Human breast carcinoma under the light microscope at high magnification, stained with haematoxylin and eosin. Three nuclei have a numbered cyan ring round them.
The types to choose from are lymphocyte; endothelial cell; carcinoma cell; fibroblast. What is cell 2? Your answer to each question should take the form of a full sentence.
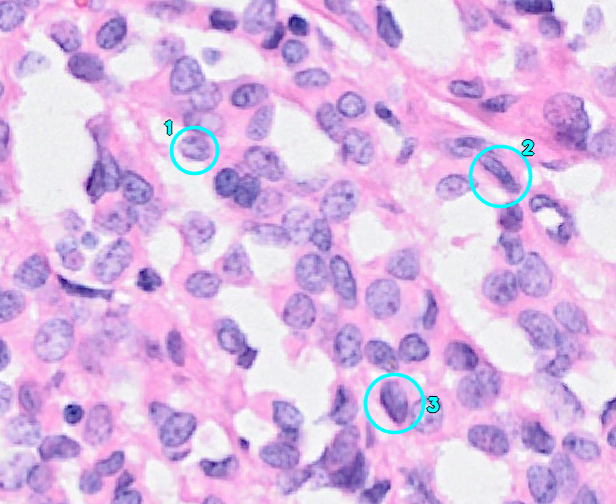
Number 2 is placed on an endothelial cell here.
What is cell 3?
The cell identified by the number 3 is a carcinoma cell.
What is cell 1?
To a carcinoma cell belongs the nucleus marked 1.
